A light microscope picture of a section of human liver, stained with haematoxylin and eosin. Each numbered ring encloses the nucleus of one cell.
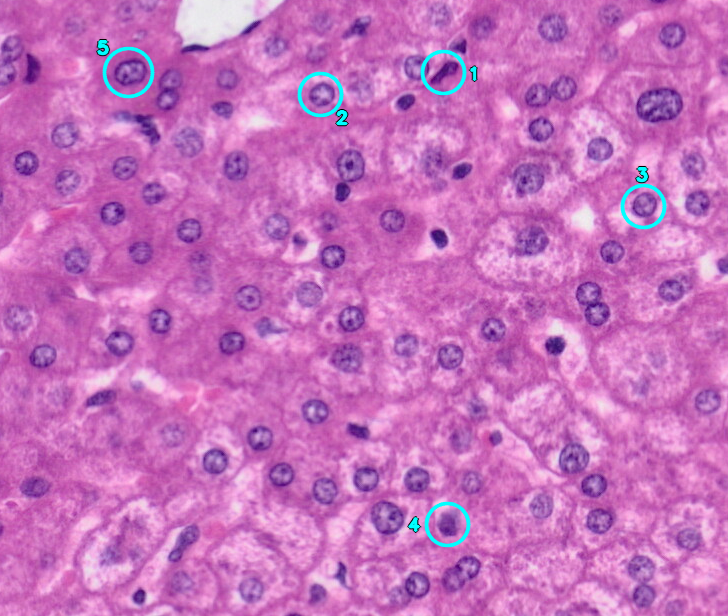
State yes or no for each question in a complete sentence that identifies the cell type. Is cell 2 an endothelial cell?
No, the cell with the number 2 is a hepatocyte, not an endothelial cell.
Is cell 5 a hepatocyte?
Yes, the cell whose nucleus carries number 5 is a hepatocyte.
